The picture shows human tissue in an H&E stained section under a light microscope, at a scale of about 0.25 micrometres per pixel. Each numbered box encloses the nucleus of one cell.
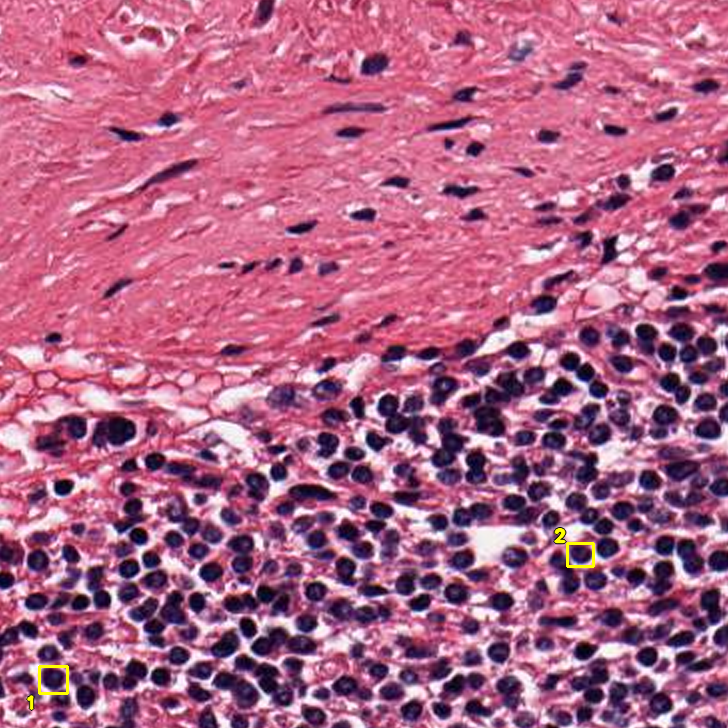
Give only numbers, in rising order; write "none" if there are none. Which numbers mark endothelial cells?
none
